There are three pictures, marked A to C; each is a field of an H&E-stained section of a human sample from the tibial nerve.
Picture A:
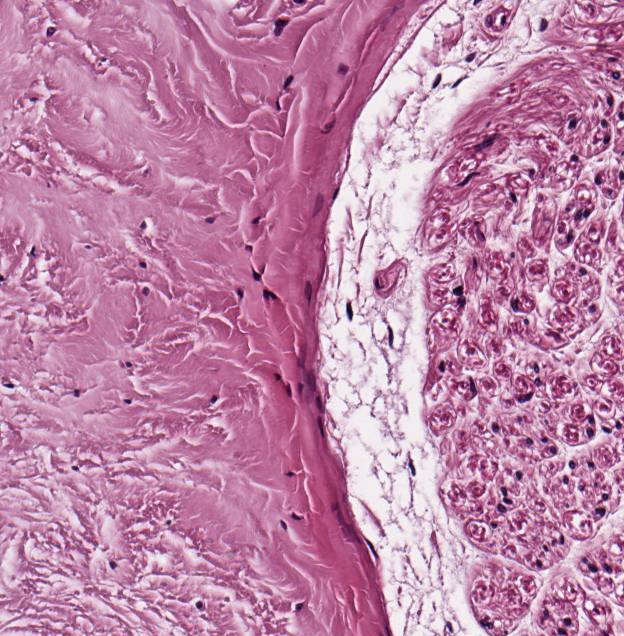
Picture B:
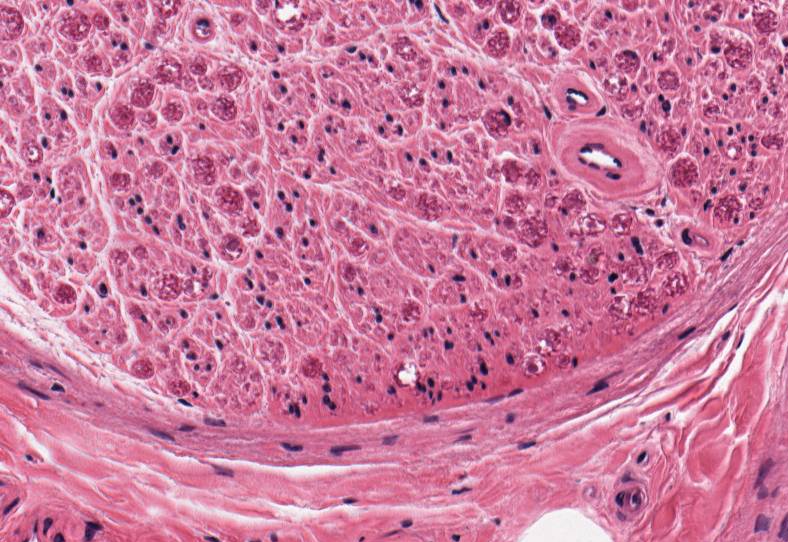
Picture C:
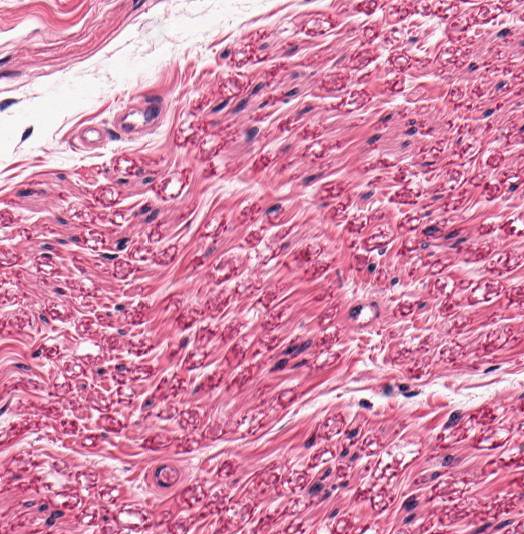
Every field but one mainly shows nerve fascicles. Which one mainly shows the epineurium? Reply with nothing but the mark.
A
